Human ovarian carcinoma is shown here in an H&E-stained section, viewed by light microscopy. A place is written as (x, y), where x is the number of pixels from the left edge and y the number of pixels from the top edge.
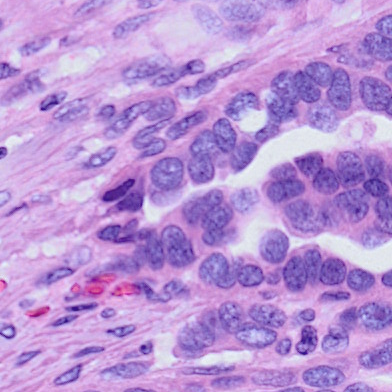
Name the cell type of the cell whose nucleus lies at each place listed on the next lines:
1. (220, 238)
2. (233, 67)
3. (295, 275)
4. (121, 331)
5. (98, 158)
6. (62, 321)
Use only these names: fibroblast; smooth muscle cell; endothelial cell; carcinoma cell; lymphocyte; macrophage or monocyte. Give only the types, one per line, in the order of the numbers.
carcinoma cell
fibroblast
carcinoma cell
fibroblast
fibroblast
fibroblast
